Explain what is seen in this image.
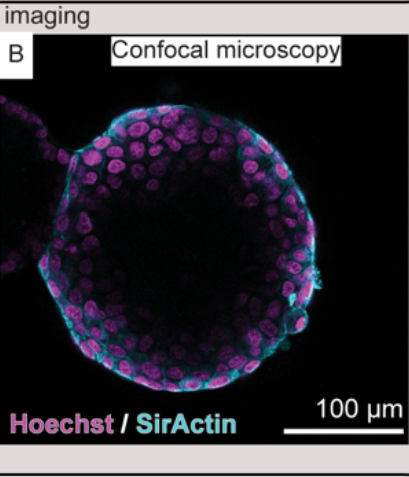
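The cells, recognisable by their oval magenta nuclei, form a thick ring several cells deep around a dark, cell-free centre. A thin cyan rim runs along the outer surface of the ring, outlining the spheroid. A few further cells with magenta nuclei lie outside the spheroid at the upper left.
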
